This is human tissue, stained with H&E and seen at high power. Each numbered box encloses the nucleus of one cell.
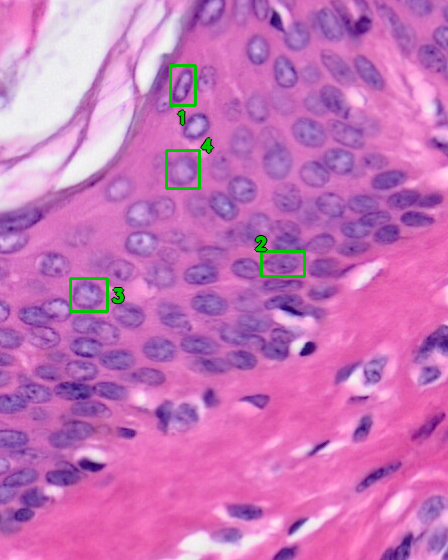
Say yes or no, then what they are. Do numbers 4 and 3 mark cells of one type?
Yes, both are suprabasal keratinocytes.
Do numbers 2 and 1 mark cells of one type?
No, cell 2 is a basal keratinocyte and cell 1 is a suprabasal keratinocyte.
